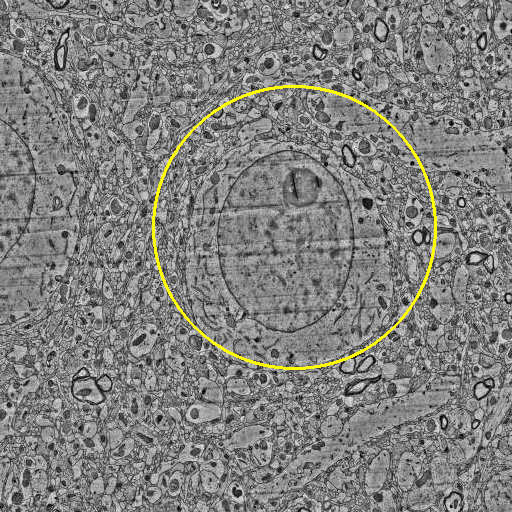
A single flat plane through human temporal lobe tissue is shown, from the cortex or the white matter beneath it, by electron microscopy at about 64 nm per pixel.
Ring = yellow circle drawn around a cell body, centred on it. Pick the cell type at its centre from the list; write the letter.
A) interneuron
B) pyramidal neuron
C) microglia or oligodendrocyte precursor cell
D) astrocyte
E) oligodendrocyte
B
